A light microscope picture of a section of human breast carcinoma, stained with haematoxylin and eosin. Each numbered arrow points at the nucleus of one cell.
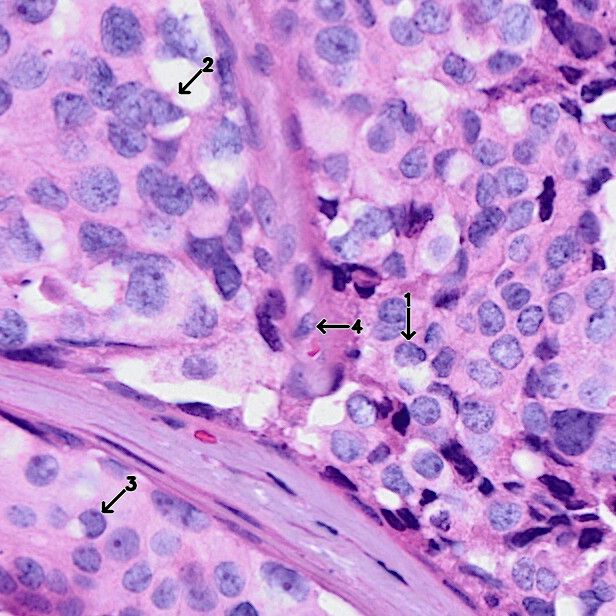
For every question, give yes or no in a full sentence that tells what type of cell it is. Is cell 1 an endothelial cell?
No, the cell numbered 1 is a carcinoma cell rather than an endothelial cell.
